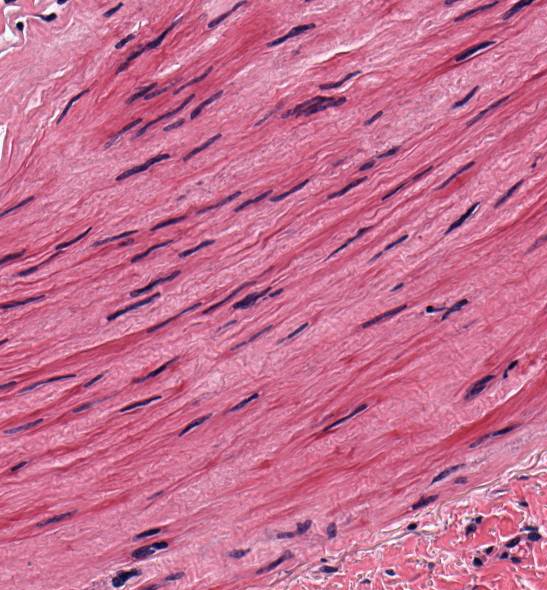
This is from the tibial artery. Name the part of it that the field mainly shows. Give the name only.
tunica media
